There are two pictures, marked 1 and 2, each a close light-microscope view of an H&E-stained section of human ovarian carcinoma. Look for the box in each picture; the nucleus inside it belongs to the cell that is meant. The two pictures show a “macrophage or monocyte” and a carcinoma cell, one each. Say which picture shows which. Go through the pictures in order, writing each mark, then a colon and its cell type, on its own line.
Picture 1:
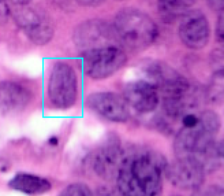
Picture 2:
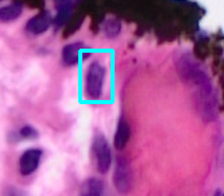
1: carcinoma cell
2: macrophage or monocyte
